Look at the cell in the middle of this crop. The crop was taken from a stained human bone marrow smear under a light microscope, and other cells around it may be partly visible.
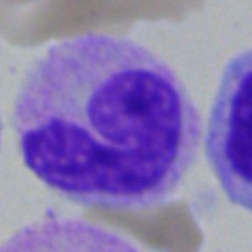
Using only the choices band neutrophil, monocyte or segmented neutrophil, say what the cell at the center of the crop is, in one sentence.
The cell shown in the center of this light-microscope crop is a band neutrophil.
